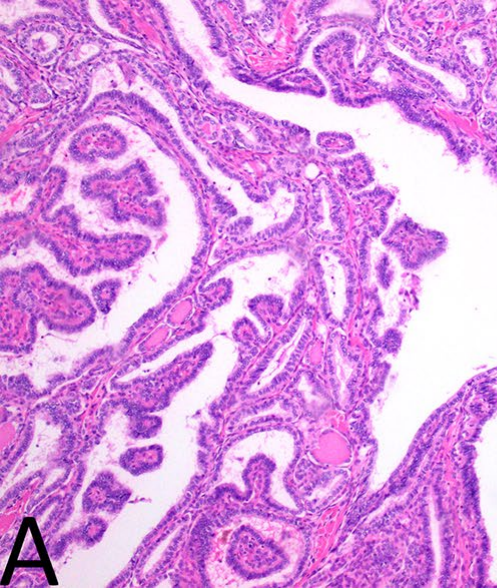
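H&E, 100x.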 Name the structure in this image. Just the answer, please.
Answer: Papillary and follicular architecture.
